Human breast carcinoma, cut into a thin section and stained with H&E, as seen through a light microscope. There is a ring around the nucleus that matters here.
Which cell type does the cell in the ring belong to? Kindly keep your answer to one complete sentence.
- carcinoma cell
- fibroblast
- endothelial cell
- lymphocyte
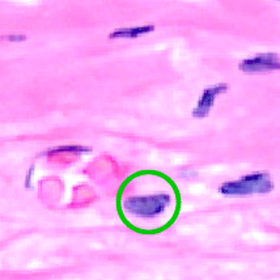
The cell type represented by the cell in the ring is that of a lymphocyte.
